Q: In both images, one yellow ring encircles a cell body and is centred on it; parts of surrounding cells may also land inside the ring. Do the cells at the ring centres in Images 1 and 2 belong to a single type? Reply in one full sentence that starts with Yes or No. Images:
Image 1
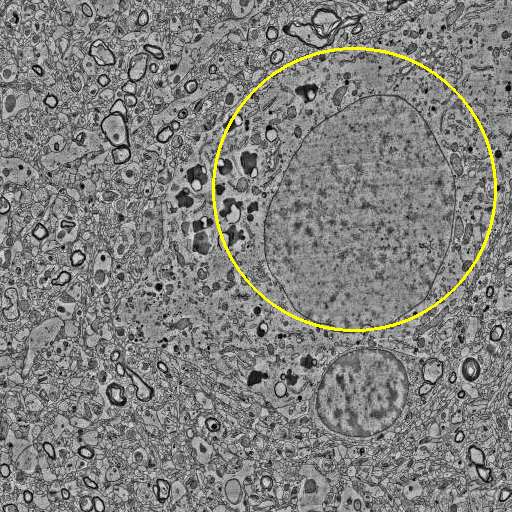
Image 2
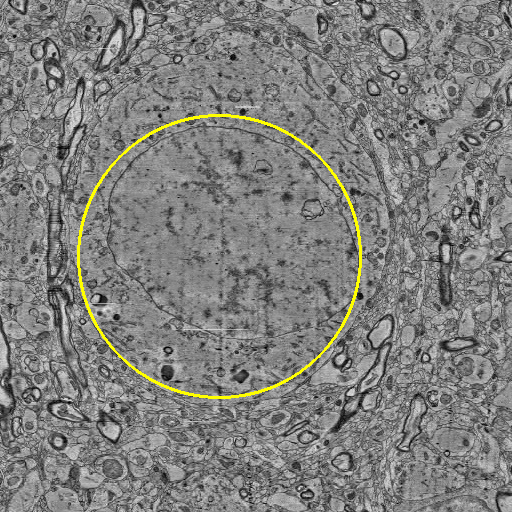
Yes, the cells at the ring centres in Images 1 and 2 are of a single type.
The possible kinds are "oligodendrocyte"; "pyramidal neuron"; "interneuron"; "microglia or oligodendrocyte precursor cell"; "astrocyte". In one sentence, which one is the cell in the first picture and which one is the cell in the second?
The second cell is a pyramidal neuron, just as the first is.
